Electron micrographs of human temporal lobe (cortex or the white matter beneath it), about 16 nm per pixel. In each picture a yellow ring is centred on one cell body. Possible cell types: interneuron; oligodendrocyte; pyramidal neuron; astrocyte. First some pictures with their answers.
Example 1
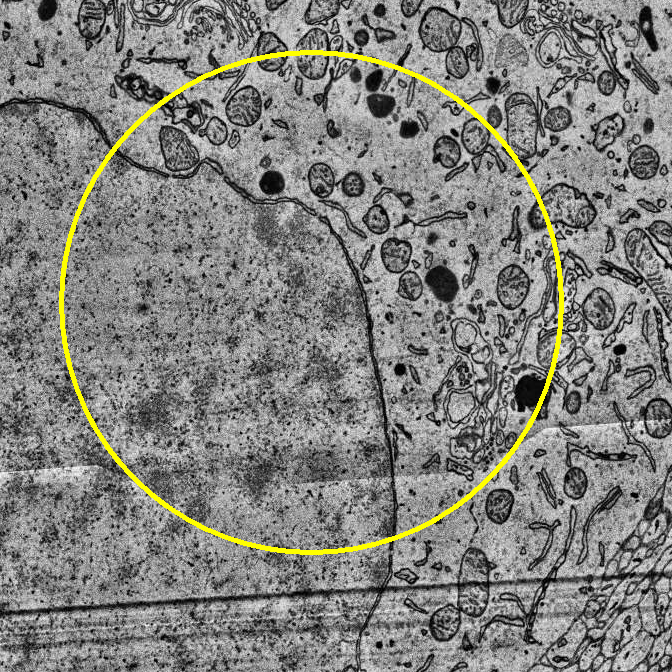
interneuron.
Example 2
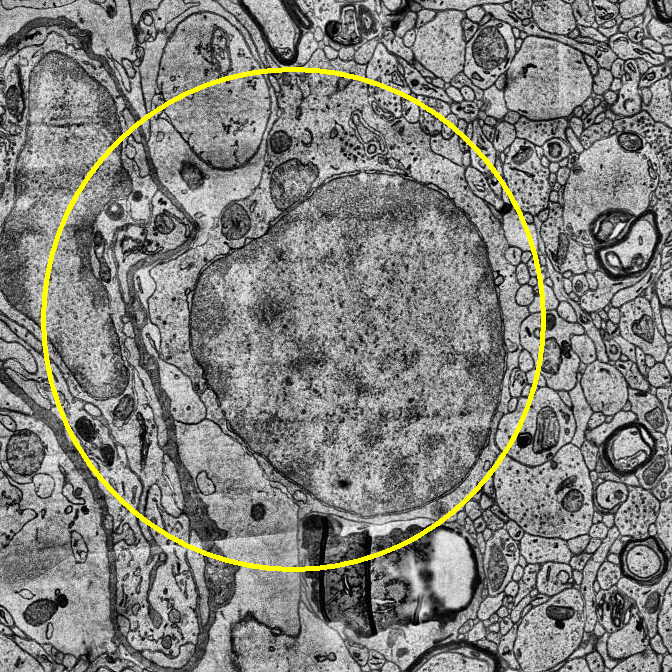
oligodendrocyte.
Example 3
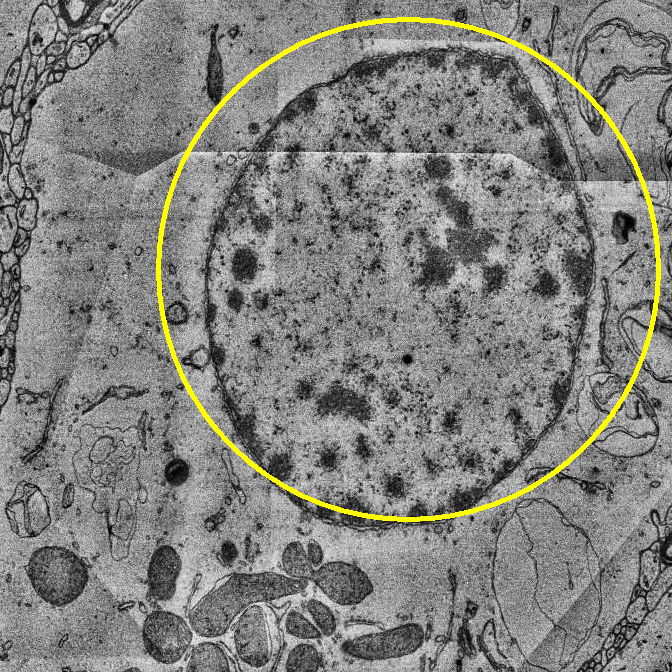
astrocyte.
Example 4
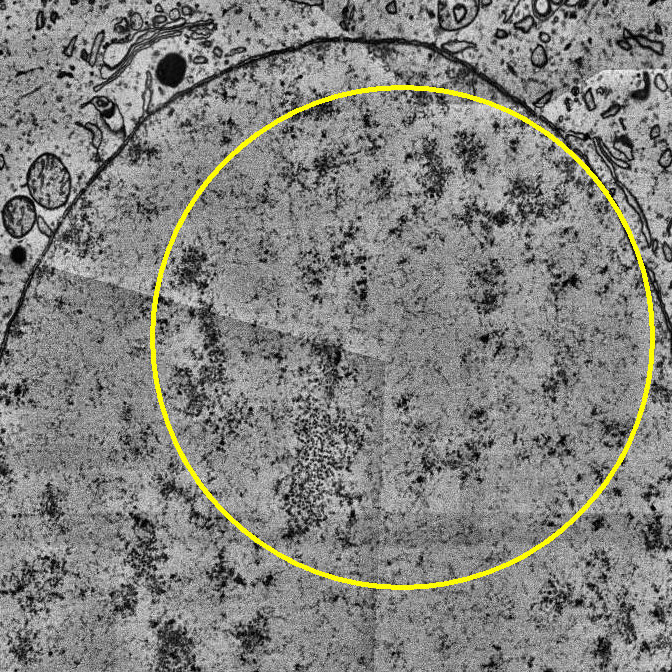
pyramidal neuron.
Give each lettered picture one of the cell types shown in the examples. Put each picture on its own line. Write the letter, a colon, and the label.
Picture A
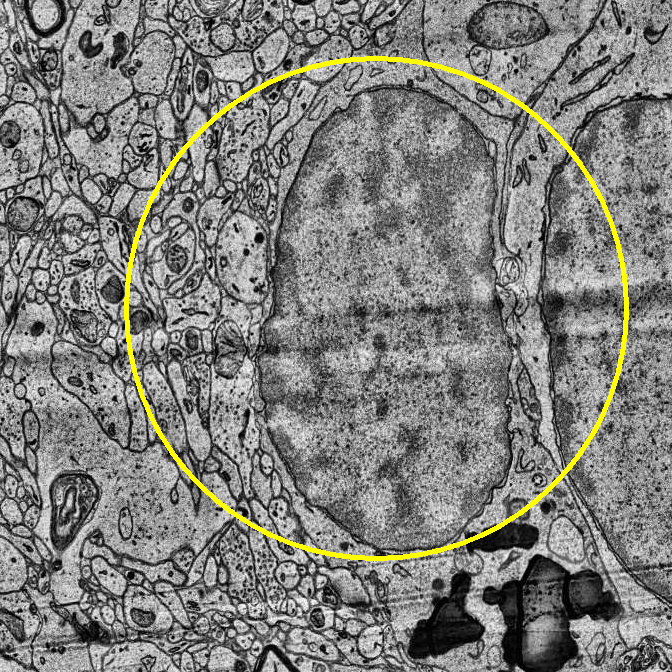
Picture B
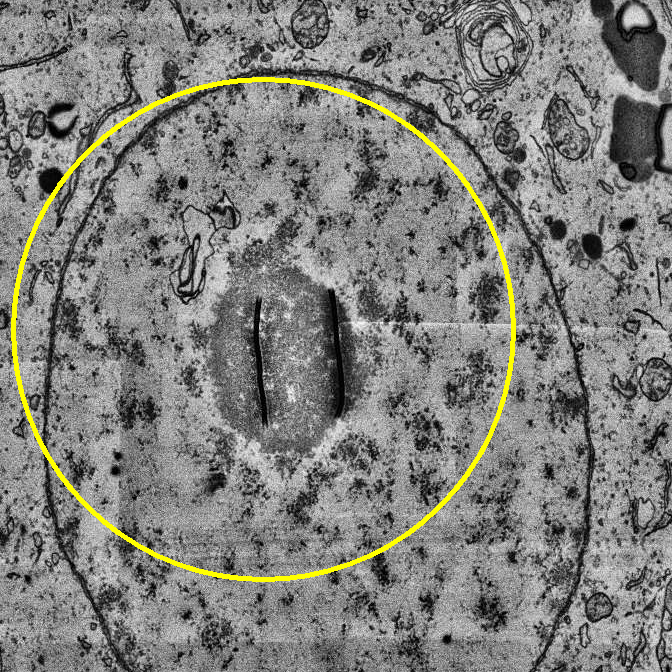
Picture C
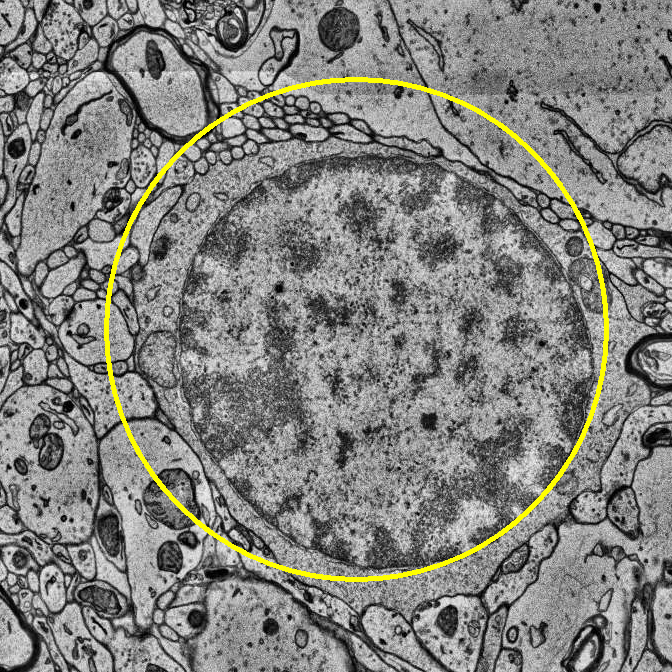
A: oligodendrocyte.
B: pyramidal neuron.
C: oligodendrocyte.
